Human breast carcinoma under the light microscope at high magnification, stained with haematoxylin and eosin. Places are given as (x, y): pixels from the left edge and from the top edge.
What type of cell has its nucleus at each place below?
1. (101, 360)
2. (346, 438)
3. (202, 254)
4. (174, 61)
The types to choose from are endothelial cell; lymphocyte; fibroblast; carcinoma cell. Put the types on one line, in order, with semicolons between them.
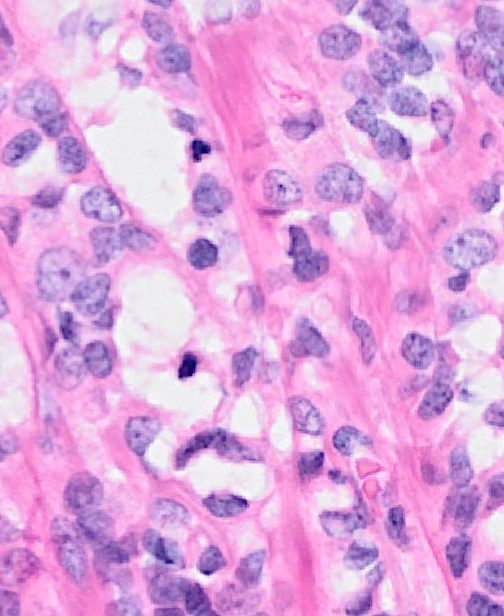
carcinoma cell; endothelial cell; carcinoma cell; carcinoma cell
